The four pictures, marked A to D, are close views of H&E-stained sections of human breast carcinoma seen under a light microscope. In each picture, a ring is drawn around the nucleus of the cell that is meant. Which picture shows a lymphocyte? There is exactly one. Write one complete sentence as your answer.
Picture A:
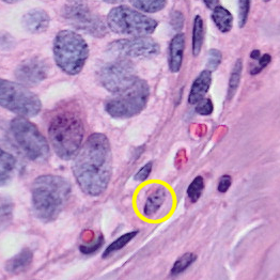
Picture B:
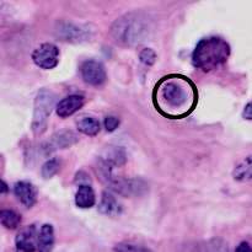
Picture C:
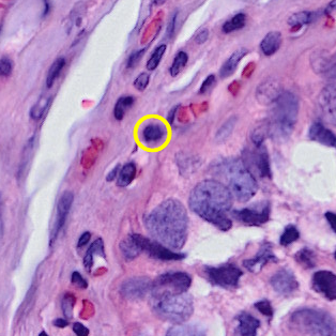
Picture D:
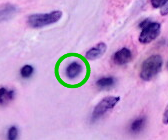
The cell in picture D is the lymphocyte.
